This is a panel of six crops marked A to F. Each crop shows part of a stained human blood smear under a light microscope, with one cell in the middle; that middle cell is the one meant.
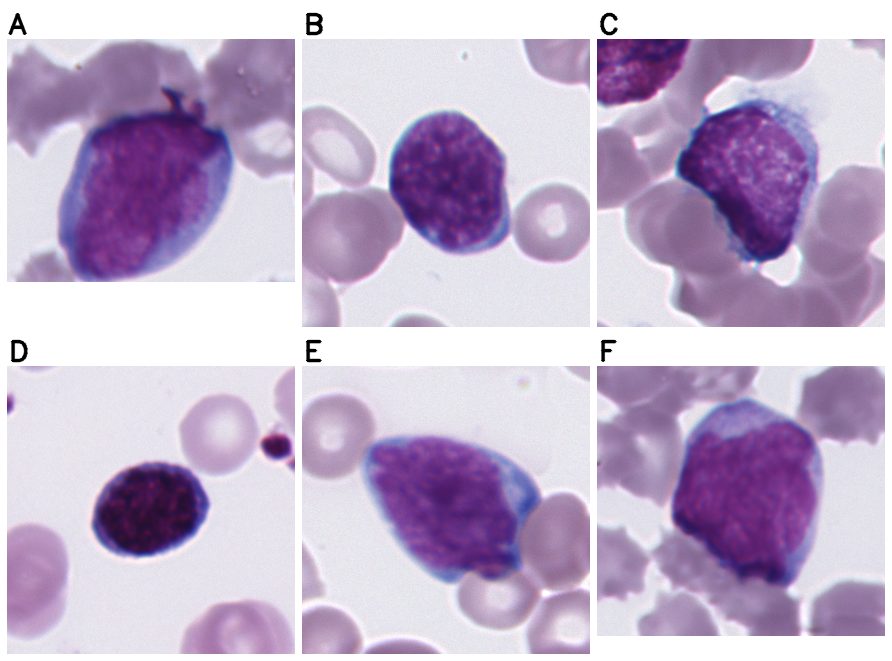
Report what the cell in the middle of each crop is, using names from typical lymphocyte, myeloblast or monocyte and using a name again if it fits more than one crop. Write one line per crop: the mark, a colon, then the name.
A: myeloblast
B: myeloblast
C: typical lymphocyte
D: typical lymphocyte
E: myeloblast
F: myeloblast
